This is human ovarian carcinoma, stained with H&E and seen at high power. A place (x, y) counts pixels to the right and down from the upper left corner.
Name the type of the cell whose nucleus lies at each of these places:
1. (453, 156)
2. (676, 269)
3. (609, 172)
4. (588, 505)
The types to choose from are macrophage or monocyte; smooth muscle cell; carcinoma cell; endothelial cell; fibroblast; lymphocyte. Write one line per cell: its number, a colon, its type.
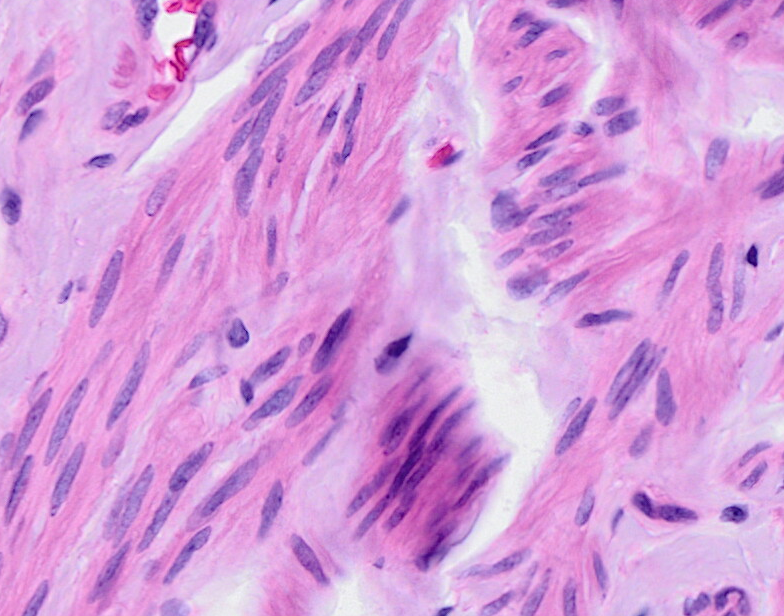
1: endothelial cell
2: smooth muscle cell
3: smooth muscle cell
4: smooth muscle cell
